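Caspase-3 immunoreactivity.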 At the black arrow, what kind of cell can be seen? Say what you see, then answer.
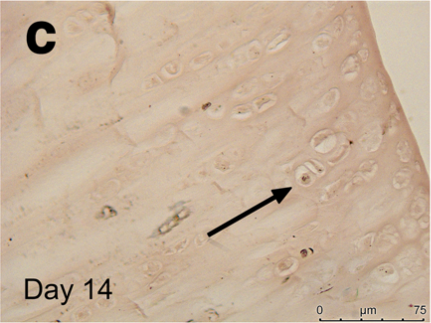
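Chondrocytes. The arrow points to a cell in a lacuna with a small dark brown dot. Cells lie scattered in lacunae in a pale matrix.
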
